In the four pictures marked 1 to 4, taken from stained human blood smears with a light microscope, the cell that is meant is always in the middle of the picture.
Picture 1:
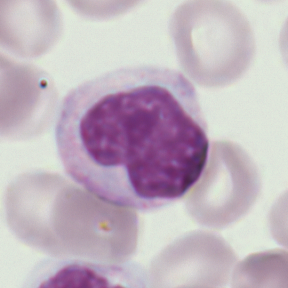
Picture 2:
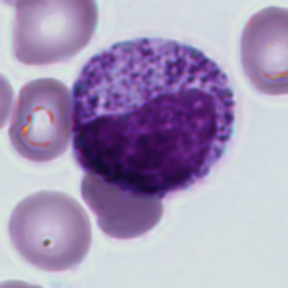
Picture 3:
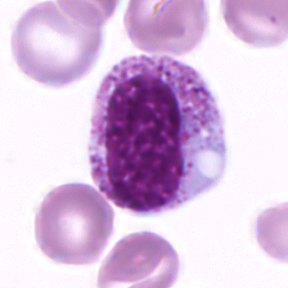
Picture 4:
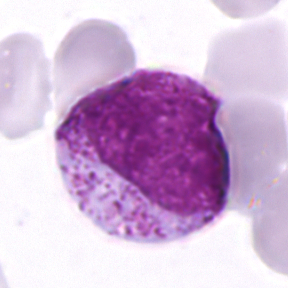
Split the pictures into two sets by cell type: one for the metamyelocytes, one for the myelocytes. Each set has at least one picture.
1: metamyelocyte
2: metamyelocyte
3: metamyelocyte
4: myelocyte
